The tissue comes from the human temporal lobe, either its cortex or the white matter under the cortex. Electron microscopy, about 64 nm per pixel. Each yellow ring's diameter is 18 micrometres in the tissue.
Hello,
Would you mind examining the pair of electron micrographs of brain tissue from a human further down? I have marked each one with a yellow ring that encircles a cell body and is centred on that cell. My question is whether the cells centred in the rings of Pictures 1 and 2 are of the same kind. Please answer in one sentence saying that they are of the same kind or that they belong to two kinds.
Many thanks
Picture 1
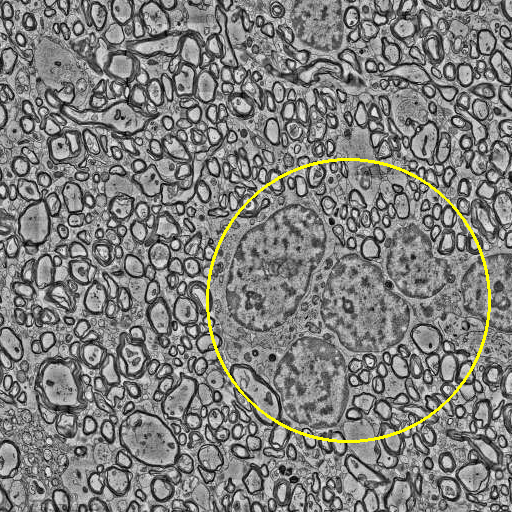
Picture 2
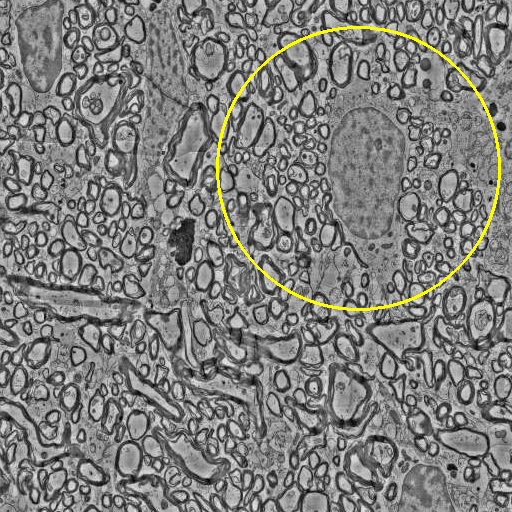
In Pictures 1 and 2, the cells at the heart of the rings are of the same kind.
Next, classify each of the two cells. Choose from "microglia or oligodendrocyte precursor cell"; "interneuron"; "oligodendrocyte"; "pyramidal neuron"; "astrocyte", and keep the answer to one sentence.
The cell in the first picture is an oligodendrocyte, and so is the one in the second.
